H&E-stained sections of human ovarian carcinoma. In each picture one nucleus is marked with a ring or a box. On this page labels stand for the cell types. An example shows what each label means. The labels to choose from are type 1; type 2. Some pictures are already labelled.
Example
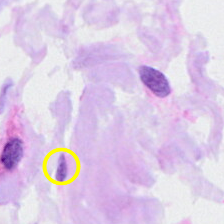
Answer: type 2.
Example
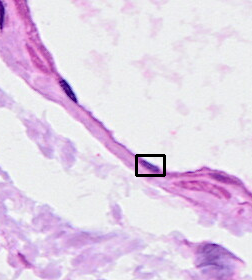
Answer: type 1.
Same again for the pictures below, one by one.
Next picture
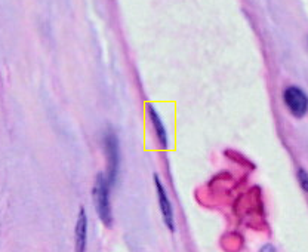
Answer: type 1.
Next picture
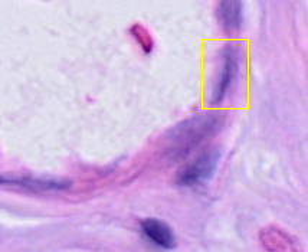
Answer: type 1.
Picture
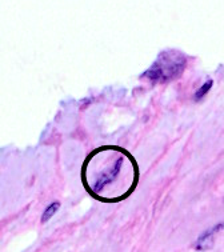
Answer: type 2.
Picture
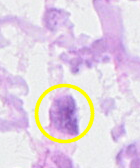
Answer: type 2.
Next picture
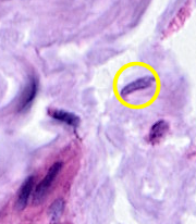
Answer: type 2.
